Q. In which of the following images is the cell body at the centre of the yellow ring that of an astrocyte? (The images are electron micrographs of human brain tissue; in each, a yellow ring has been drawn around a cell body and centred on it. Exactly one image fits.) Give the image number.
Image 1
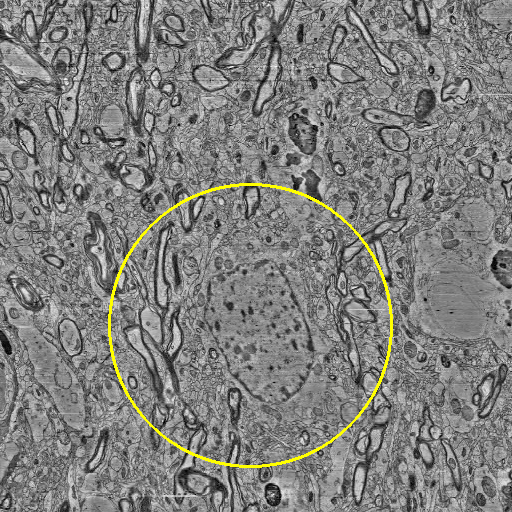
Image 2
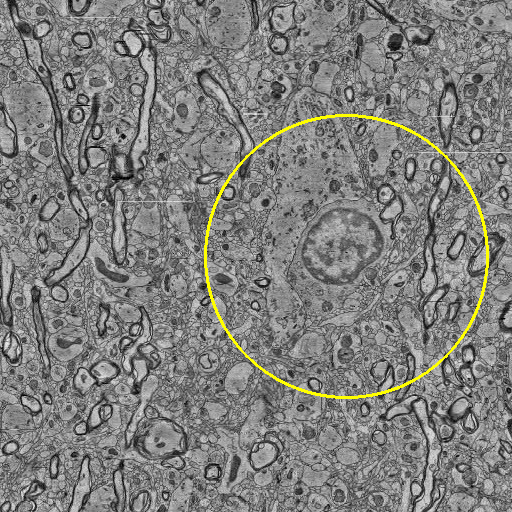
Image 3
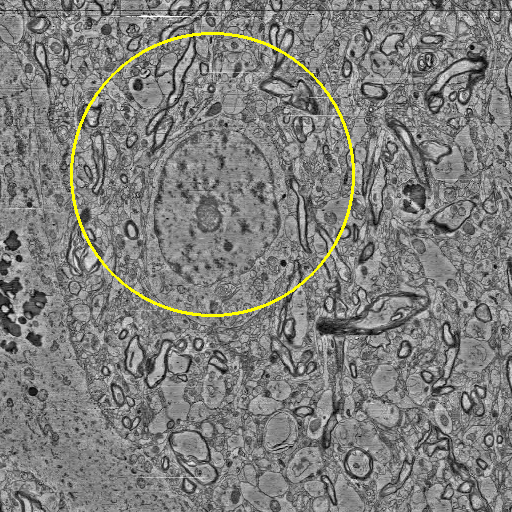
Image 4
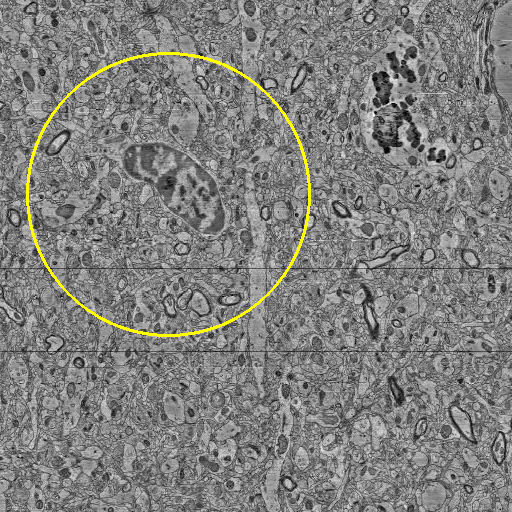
1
